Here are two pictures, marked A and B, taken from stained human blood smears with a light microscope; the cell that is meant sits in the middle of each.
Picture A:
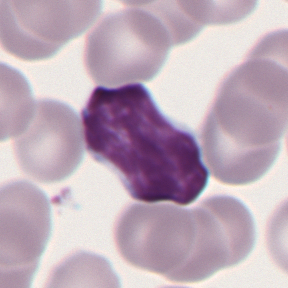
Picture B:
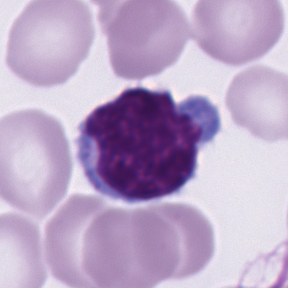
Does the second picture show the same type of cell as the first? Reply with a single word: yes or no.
yes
